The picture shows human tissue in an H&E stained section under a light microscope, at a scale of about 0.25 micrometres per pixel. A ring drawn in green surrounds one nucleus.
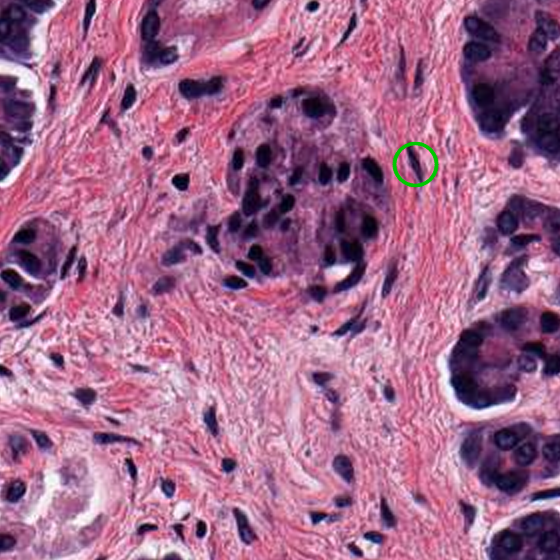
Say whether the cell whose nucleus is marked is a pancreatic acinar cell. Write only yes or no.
no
